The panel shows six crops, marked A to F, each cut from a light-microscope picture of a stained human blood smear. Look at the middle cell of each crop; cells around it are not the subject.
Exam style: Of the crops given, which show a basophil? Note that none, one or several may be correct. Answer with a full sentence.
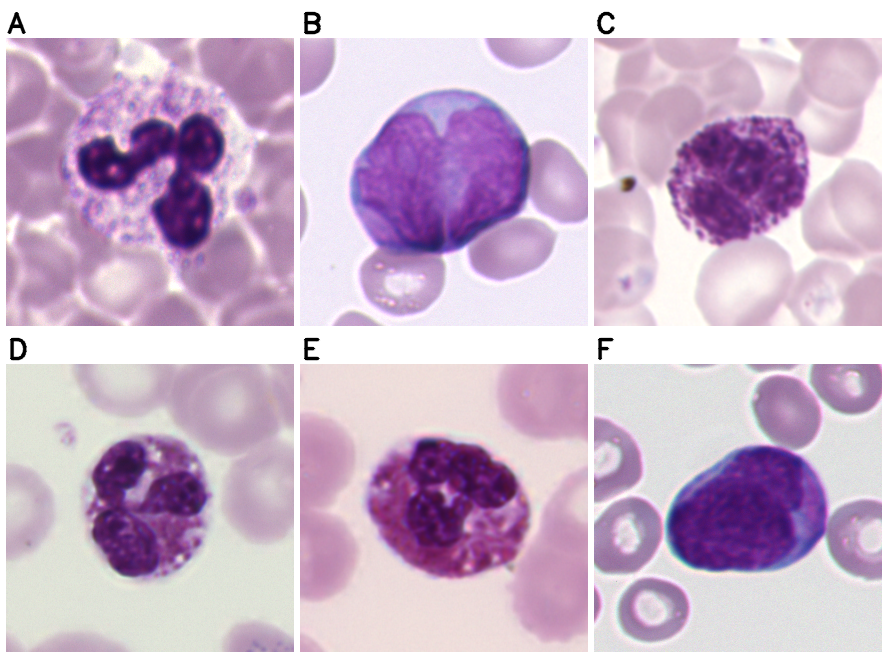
No crop except crop C shows a basophil.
